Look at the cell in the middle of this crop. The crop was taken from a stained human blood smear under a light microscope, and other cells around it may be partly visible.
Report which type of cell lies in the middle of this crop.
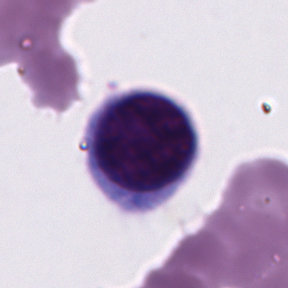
hairy cell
